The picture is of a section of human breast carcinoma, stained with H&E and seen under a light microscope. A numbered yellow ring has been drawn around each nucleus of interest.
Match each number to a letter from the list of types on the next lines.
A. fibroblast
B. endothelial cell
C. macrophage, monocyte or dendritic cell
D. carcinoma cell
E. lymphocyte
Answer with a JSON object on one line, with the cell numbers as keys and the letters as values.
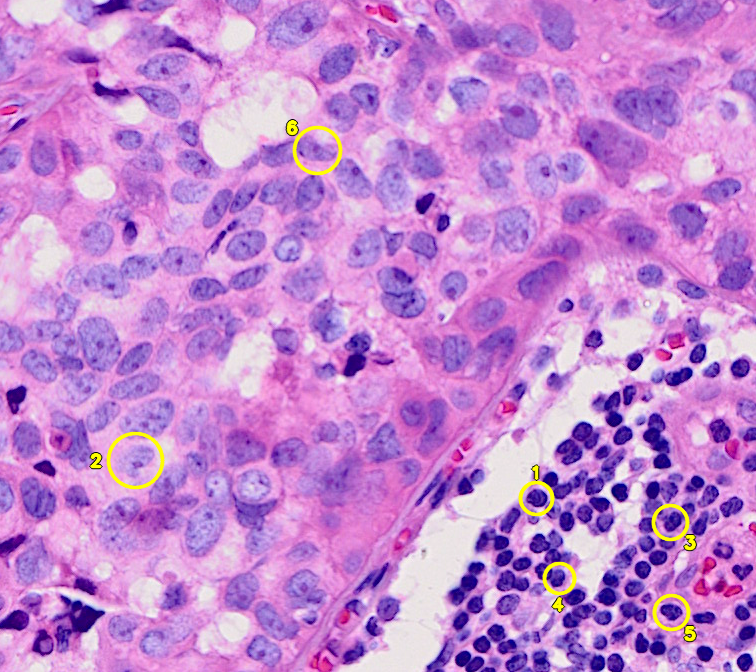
{"1": "E", "2": "D", "3": "E", "4": "E", "5": "E", "6": "D"}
